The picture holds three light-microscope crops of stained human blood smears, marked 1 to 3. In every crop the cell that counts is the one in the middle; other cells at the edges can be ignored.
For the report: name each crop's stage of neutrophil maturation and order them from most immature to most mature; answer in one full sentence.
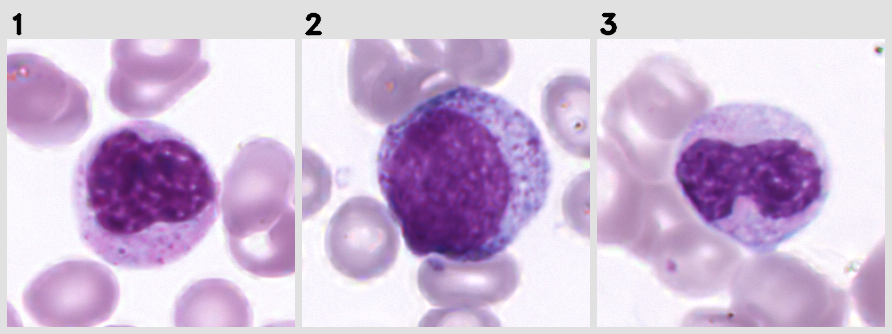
The order of maturity, lowest to highest, is crop 2 (a promyelocyte), crop 1 (a metamyelocyte) and crop 3 (a band neutrophil).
